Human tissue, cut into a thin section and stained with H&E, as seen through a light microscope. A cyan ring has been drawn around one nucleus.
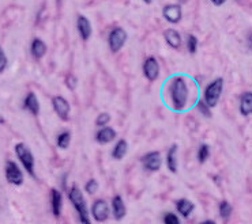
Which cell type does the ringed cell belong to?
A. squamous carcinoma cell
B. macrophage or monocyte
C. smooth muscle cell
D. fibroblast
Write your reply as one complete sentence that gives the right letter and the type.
Option C gives the correct identity of the ringed cell, which is a smooth muscle cell.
